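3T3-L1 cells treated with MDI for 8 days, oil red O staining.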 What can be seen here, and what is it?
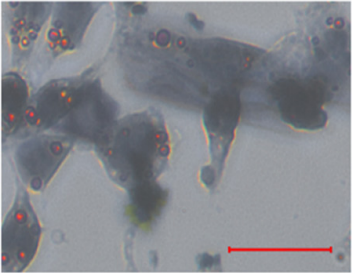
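The cells are irregular, some elongated or spindle-like with tapering ends, and have grey cytoplasm. Only a few small red droplets are scattered in the cytoplasm of some cells. Large parts of the cell bodies show no red droplets. Pale background separates the cells.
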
